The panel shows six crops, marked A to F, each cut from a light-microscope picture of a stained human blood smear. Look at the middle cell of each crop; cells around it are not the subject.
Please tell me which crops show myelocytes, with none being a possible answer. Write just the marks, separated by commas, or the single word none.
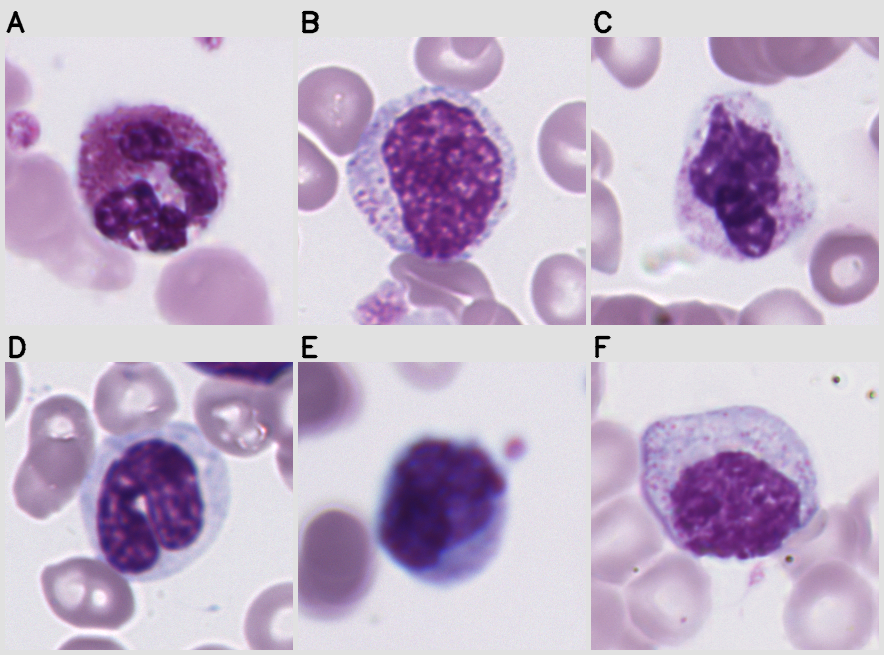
B, F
